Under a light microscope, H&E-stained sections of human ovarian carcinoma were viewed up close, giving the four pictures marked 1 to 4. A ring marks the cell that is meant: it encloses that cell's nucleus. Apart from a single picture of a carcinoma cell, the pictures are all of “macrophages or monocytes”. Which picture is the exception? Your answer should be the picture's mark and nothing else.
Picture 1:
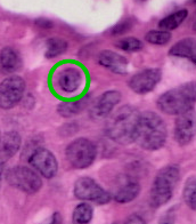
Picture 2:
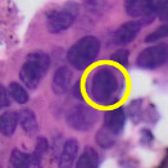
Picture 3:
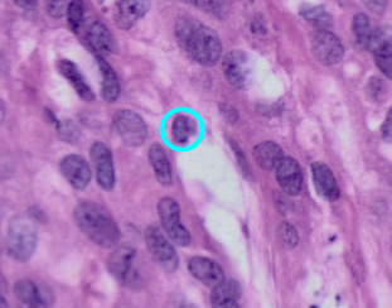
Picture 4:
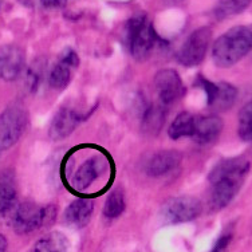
2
